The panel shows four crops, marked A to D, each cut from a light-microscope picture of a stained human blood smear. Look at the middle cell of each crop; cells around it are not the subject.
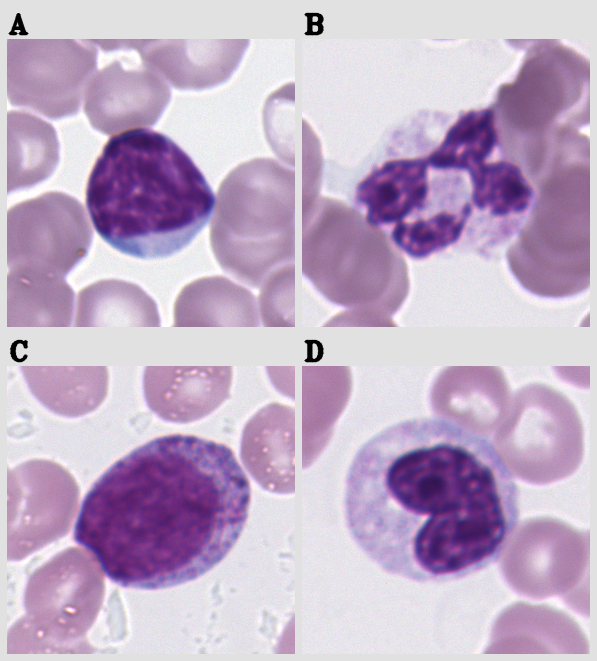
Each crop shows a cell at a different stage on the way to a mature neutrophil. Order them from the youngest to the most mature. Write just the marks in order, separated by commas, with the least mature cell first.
A, C, D, B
